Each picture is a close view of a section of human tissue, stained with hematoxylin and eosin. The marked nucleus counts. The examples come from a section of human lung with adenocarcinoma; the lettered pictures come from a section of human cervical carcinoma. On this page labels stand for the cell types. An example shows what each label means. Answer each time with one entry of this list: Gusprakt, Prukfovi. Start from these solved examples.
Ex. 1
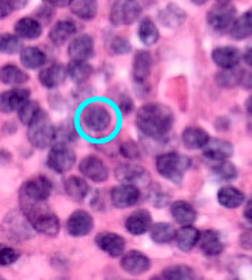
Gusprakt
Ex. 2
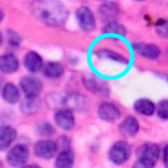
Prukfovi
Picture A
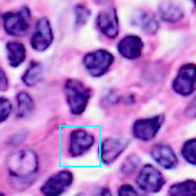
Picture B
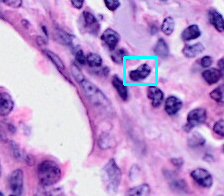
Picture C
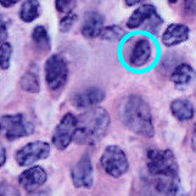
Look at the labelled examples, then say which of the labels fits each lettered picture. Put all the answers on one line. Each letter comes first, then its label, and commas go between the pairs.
A Gusprakt, B Gusprakt, C Gusprakt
